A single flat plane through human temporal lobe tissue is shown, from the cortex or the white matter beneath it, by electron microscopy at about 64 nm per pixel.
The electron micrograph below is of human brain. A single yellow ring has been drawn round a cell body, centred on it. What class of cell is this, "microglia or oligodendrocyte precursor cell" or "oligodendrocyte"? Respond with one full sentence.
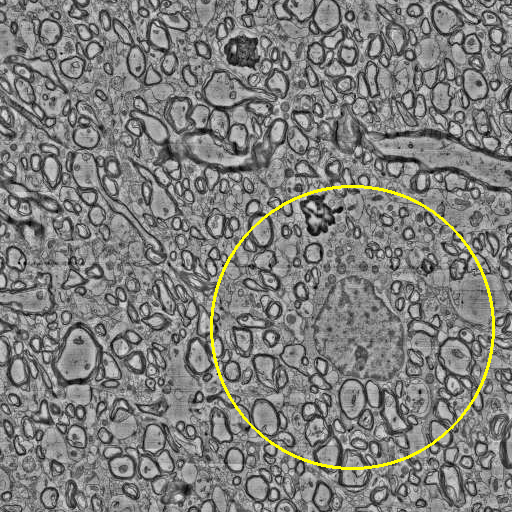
In the micrograph, the cell centred inside the yellow ring is an oligodendrocyte.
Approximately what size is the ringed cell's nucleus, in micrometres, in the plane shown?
About 7 by 6 micrometers for the nucleus, in this plane.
